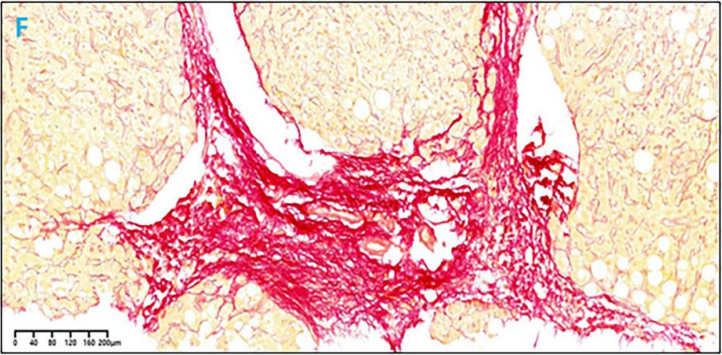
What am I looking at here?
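Thick, continuous red fibrous septa sweep through the middle and lower part of the field, meeting in a dense network. Large empty vascular spaces sit within and along these red bands, with fibres wrapping closely around their walls. Away from the septa the liver cells stand pale yellow, crossed only by fine thin red strands, and scattered round clear holes mark fat droplets within the hepatocytes.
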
